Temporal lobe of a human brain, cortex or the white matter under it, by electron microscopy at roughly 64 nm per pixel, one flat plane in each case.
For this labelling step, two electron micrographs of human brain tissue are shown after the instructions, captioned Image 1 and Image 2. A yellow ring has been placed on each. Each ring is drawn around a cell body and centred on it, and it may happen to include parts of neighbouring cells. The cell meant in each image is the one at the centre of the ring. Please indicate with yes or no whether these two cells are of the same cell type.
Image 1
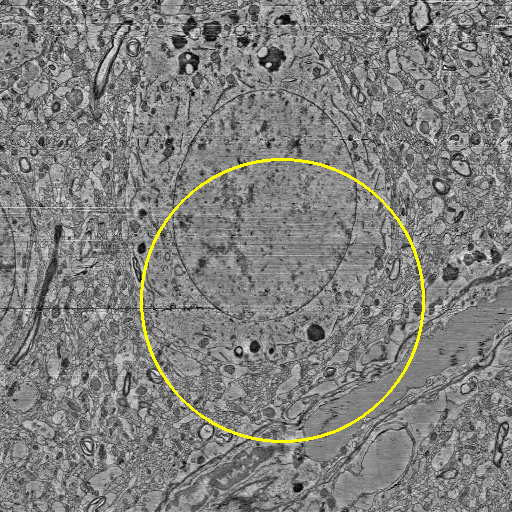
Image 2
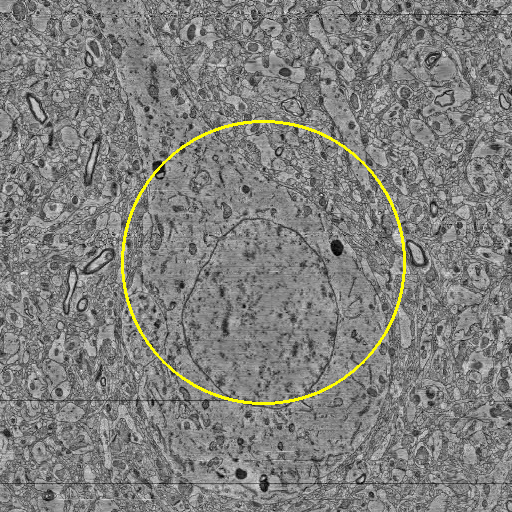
yes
